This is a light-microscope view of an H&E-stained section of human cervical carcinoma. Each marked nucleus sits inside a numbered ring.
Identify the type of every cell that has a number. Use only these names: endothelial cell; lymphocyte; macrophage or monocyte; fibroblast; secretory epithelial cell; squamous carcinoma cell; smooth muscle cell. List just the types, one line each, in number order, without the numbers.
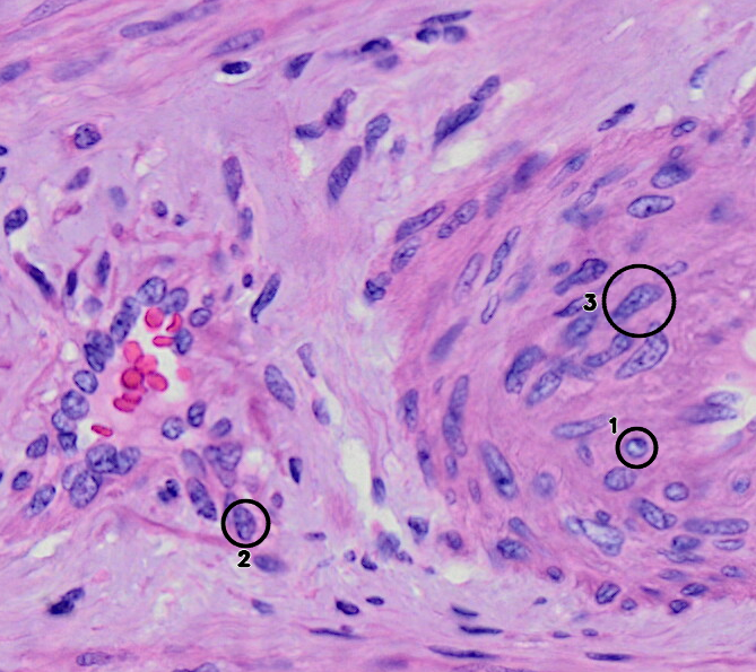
smooth muscle cell
endothelial cell
smooth muscle cell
